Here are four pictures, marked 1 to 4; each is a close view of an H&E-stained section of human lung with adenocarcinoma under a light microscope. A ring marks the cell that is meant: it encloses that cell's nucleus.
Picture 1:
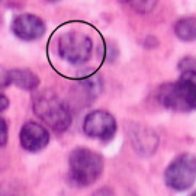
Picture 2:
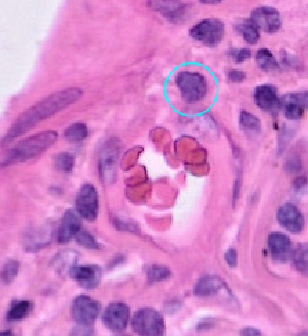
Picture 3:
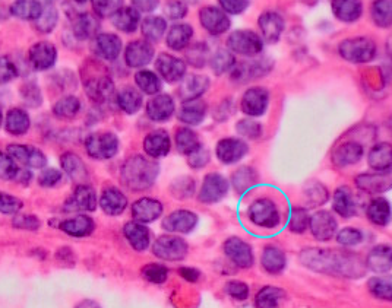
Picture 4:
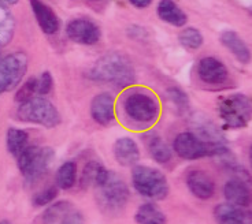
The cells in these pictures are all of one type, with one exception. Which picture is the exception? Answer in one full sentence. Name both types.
Unlike the rest, which show lymphocytes, picture 4 shows a plasma cell.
